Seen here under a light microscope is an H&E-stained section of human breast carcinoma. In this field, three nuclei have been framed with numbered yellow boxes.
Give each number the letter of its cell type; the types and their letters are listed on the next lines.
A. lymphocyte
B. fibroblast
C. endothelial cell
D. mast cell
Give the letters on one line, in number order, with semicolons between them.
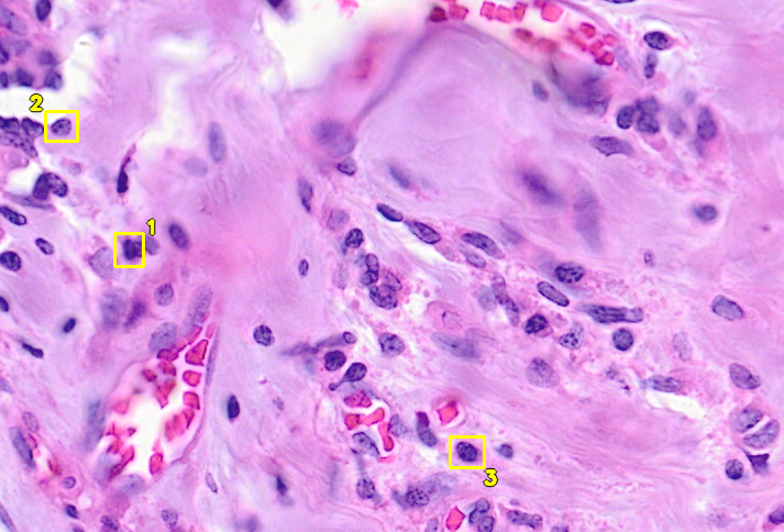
A; A; D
